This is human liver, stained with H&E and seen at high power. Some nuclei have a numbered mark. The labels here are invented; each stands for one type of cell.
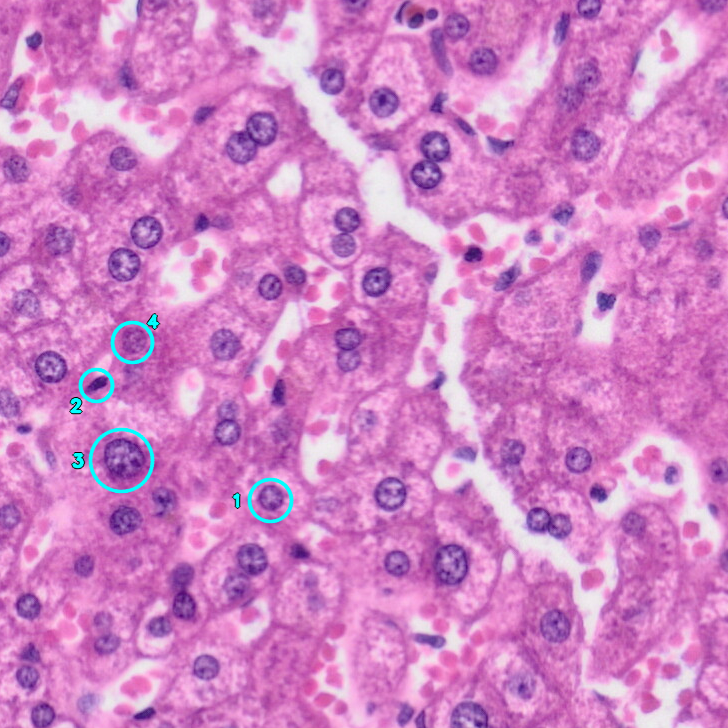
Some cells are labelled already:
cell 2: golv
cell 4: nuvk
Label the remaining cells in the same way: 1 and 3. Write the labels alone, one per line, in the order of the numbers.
nuvk
nuvk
